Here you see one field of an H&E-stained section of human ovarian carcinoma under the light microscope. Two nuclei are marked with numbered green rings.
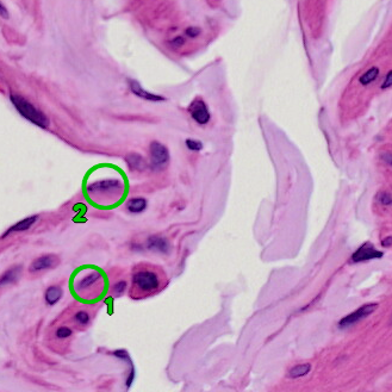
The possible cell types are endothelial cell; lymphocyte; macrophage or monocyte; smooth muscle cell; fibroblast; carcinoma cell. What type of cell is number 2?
endothelial cell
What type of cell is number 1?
smooth muscle cell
